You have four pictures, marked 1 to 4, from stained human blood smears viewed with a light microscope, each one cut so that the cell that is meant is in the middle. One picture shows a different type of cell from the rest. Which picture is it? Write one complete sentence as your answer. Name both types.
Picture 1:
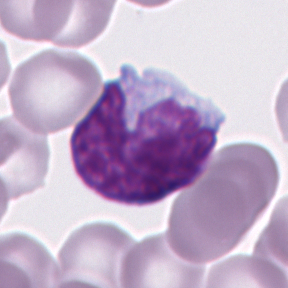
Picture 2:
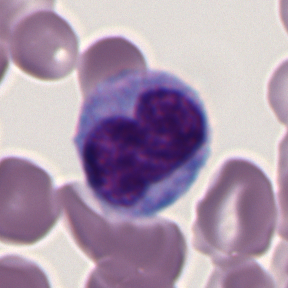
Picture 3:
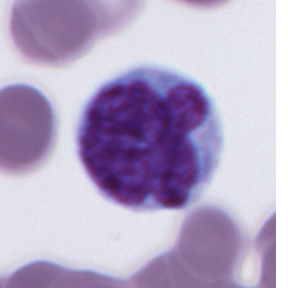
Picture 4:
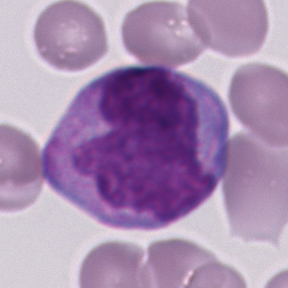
The different one is picture 4; it shows an atypical promyelocyte, whereas all the others show monocytes.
